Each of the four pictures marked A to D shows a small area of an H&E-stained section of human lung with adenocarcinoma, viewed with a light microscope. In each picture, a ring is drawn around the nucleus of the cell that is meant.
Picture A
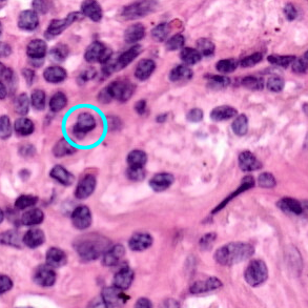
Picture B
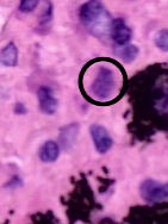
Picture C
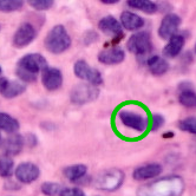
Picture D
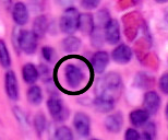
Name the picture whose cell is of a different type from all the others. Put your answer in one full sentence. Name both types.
The different one is picture B; it shows a plasma cell, whereas all the others show lymphocytes.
